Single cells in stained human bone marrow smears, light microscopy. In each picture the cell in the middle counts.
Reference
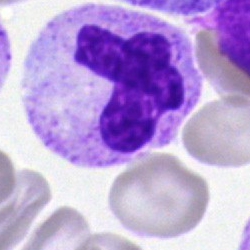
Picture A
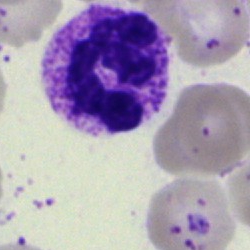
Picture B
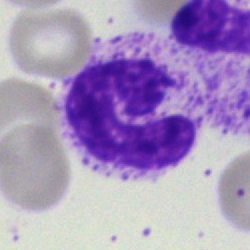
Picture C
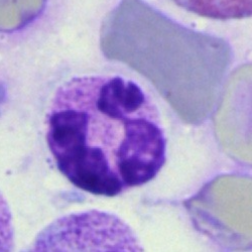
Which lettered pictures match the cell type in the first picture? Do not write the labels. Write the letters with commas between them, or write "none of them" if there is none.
A, B, C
